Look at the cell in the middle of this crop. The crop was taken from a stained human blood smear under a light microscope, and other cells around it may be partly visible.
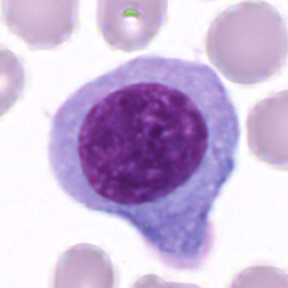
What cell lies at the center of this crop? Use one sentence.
The identification for the central cell is a plasma cell.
